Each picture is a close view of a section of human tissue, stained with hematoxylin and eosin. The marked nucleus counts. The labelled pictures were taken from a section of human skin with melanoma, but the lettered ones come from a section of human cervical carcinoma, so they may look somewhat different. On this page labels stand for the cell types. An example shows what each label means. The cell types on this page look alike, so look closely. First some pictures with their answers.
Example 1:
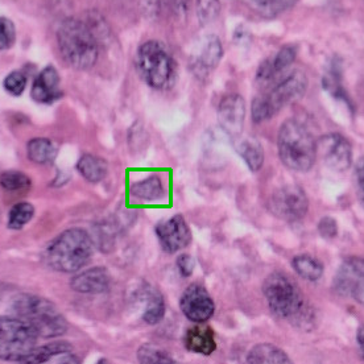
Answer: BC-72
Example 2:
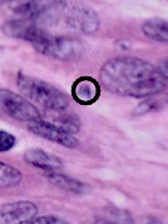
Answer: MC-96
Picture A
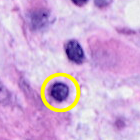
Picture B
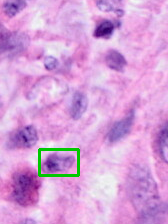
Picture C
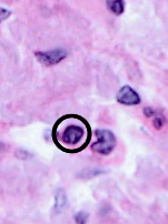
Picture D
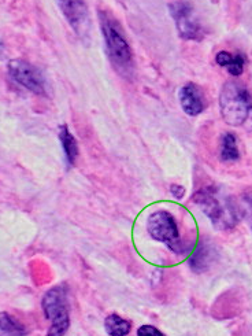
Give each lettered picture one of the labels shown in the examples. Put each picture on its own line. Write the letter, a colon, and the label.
A: MC-96
B: BC-72
C: MC-96
D: BC-72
